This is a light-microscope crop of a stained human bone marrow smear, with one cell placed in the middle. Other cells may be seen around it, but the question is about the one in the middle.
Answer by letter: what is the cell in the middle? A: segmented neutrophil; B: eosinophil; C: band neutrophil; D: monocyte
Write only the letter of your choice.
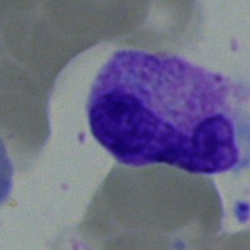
C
